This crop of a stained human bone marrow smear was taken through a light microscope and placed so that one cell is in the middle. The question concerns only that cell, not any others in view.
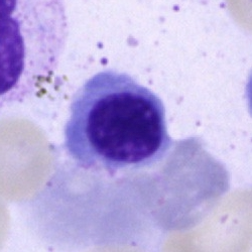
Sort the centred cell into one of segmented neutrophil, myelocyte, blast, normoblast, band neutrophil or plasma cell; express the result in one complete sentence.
Regarding the central cell, it is a normoblast.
